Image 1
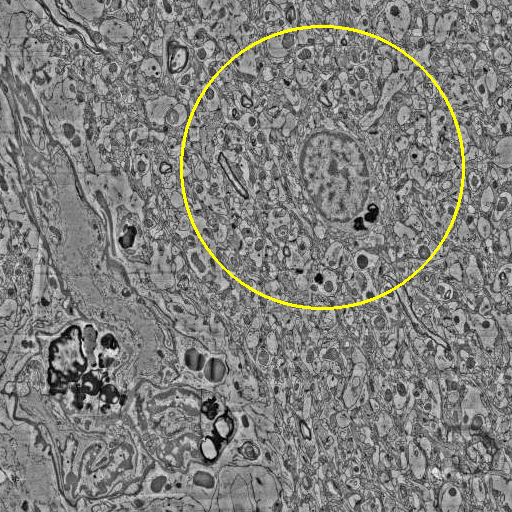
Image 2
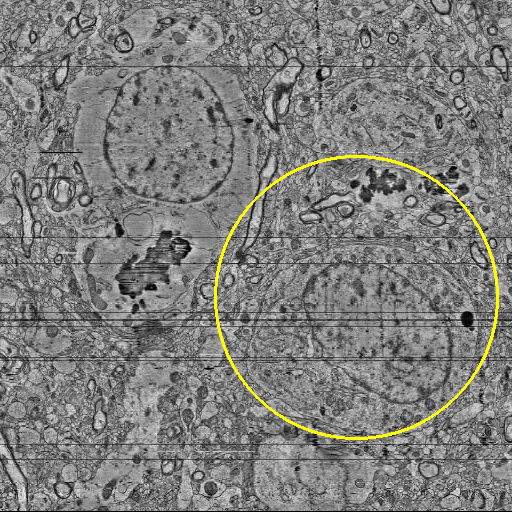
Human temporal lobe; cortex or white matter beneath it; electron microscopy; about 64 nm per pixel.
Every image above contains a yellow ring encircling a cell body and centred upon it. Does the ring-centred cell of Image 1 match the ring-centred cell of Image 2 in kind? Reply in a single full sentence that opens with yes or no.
No, the cell at the ring's centre in Image 1 is a separate kind from that in Image 2.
